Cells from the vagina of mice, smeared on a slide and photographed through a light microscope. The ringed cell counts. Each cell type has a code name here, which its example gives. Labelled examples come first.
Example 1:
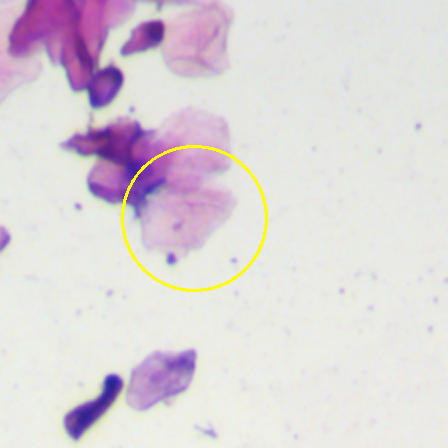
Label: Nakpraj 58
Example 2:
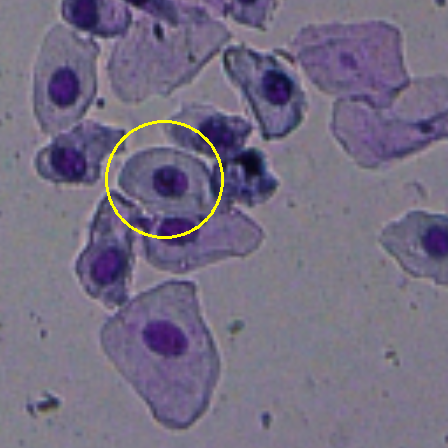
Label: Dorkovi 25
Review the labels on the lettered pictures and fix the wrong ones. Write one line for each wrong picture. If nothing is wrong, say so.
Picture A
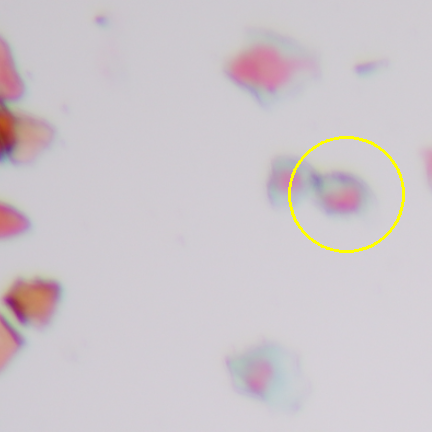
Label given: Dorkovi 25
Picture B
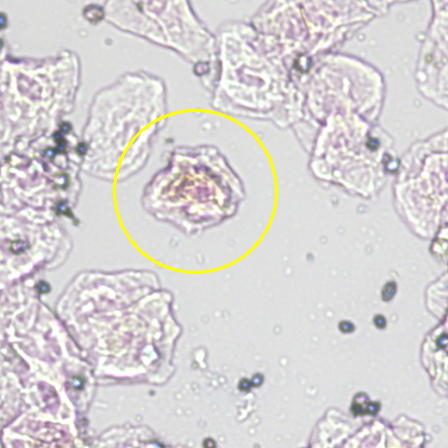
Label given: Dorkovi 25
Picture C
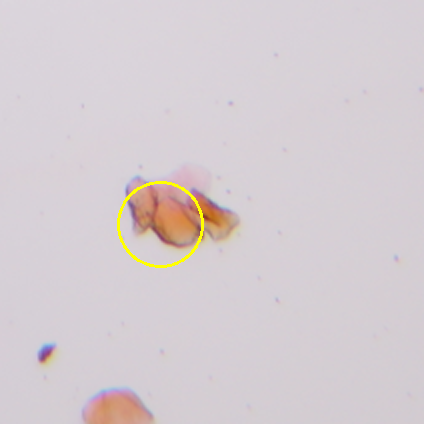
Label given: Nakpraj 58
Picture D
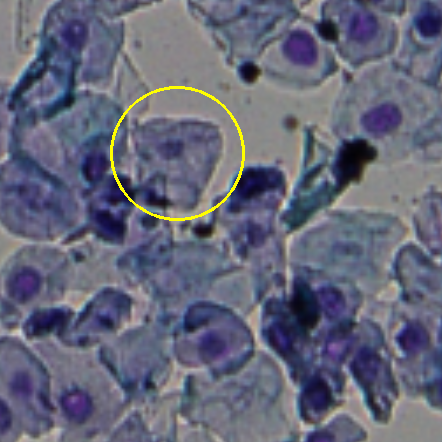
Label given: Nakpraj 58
B is labelled Dorkovi 25; correct label: Nakpraj 58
